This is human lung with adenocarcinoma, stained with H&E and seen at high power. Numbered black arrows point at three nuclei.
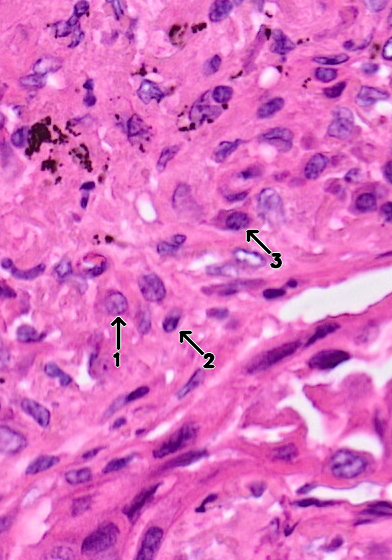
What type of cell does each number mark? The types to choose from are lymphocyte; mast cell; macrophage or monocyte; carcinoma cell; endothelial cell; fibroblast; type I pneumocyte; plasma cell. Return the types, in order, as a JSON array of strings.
["macrophage or monocyte", "lymphocyte", "plasma cell"]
